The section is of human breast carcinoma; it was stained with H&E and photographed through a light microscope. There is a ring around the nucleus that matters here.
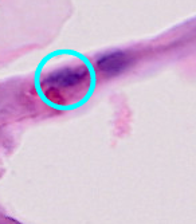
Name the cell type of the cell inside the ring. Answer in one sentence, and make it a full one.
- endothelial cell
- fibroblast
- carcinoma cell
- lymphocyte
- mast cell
The cell type represented by the cell inside the ring is that of an endothelial cell.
